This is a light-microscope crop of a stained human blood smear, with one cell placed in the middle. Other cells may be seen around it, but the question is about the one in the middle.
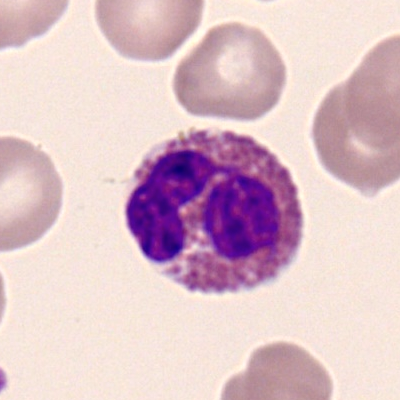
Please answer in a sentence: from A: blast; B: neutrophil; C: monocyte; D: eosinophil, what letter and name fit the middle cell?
Here the central cell is an eosinophil, and option D is correct.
